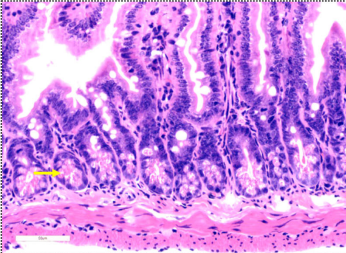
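Small intestinal mucosa with many closely packed crypts at the bottom, resting on a pink band of smooth muscle, and villi rising toward the lumen. The epithelium is a single layer of columnar cells with purple nuclei; scattered clear, rounded vacuoles in it are goblet cells. At the crypt bases lie cells whose cytoplasm is filled with pink-red granules, and a yellow arrow points to one of them. These granular cells at the bottom of the crypts are Paneth cells. The lamina propria between crypts and within villi holds loosely arranged cells with small dark nuclei.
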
